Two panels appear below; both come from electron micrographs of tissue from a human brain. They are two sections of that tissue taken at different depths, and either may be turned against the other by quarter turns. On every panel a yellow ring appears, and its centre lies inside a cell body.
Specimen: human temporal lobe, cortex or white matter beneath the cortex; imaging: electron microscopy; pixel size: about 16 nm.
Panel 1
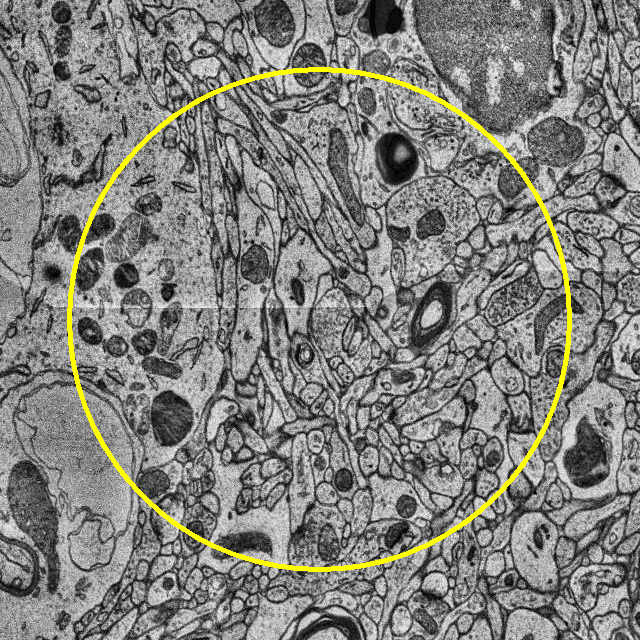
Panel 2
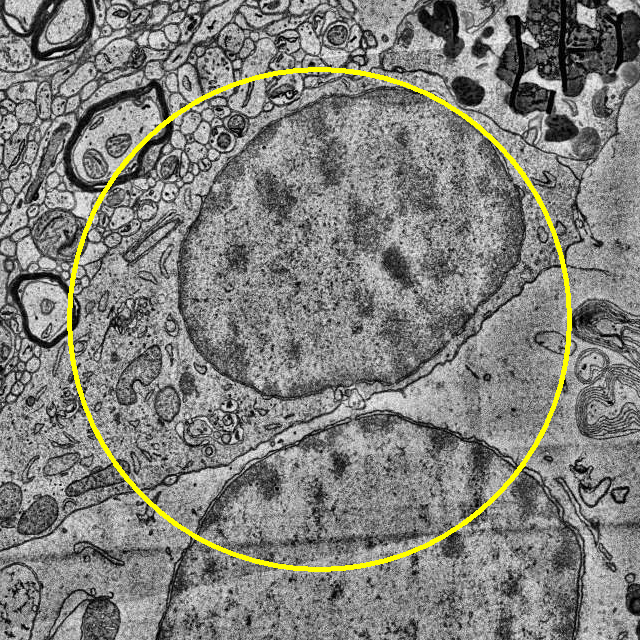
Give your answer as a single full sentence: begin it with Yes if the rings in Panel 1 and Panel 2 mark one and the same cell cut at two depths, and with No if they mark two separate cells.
No, the pair of rings marks a pair of different cells.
